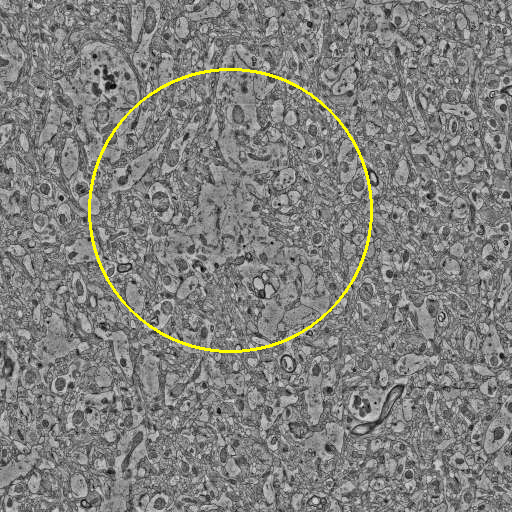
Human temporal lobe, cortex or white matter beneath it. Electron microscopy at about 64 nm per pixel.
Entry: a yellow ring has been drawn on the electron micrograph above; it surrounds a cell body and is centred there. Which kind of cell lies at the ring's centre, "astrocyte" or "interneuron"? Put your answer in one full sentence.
The cell sitting at the ring's centre is an astrocyte in the micrograph above.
